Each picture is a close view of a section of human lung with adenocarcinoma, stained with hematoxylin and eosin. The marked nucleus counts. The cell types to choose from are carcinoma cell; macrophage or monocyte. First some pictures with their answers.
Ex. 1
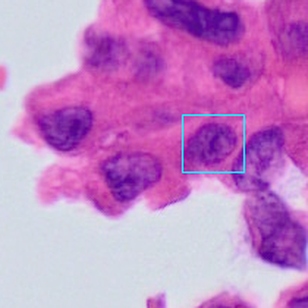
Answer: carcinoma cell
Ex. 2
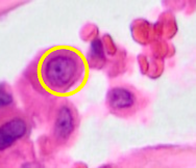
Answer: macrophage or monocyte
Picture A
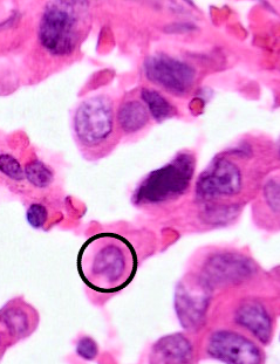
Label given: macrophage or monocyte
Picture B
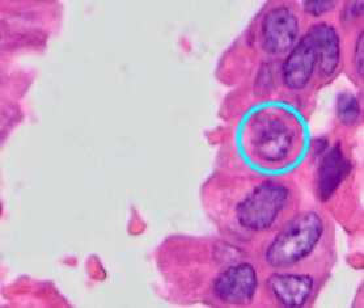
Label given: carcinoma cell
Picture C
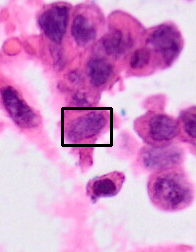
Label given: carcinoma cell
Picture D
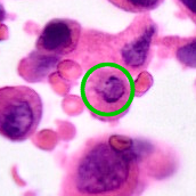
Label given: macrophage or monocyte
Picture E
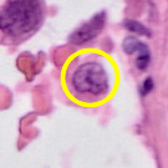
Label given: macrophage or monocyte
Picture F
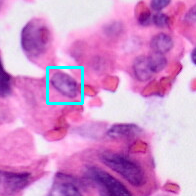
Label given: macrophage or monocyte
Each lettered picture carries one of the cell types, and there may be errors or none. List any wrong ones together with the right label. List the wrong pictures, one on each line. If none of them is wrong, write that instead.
Nothing to fix; every label fits.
